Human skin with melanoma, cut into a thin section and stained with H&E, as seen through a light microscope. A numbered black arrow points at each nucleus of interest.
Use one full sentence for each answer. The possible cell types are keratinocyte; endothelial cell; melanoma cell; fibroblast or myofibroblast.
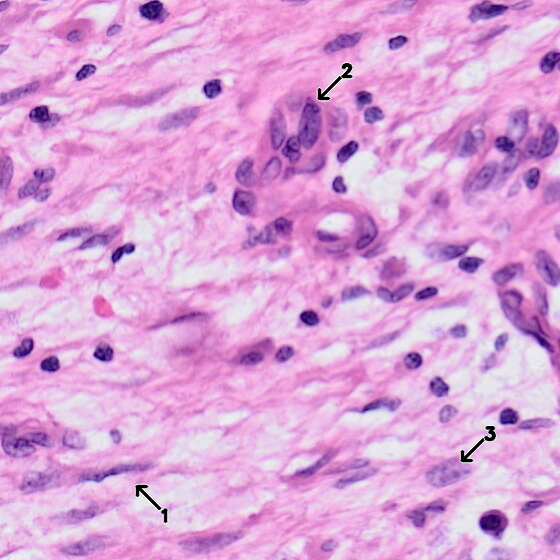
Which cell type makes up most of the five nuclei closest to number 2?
Most of the five nuclei nearest to number 2 are those of endothelial cells.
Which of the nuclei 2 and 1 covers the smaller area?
It is nucleus 2; nucleus 1 has about 2 times its area.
